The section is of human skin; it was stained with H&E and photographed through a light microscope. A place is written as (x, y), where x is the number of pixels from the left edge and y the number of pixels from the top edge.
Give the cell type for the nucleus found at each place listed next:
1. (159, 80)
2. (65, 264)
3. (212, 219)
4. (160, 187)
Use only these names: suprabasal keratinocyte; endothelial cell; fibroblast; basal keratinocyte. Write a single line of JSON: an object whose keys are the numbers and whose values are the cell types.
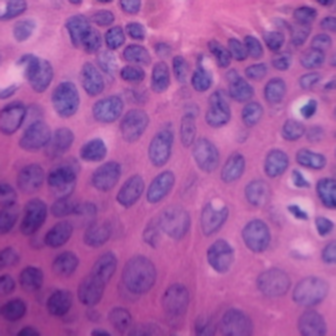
{"1": "basal keratinocyte", "2": "suprabasal keratinocyte", "3": "suprabasal keratinocyte", "4": "suprabasal keratinocyte"}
